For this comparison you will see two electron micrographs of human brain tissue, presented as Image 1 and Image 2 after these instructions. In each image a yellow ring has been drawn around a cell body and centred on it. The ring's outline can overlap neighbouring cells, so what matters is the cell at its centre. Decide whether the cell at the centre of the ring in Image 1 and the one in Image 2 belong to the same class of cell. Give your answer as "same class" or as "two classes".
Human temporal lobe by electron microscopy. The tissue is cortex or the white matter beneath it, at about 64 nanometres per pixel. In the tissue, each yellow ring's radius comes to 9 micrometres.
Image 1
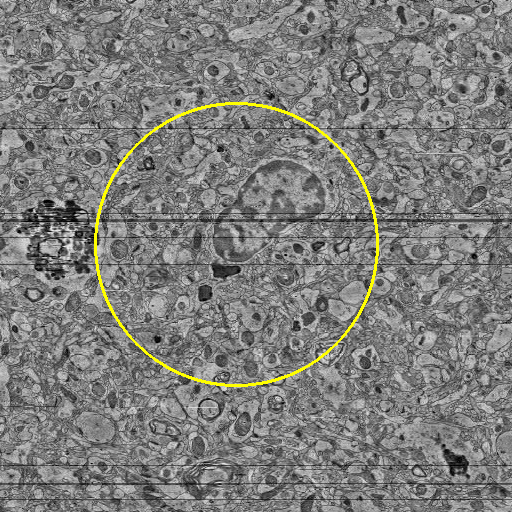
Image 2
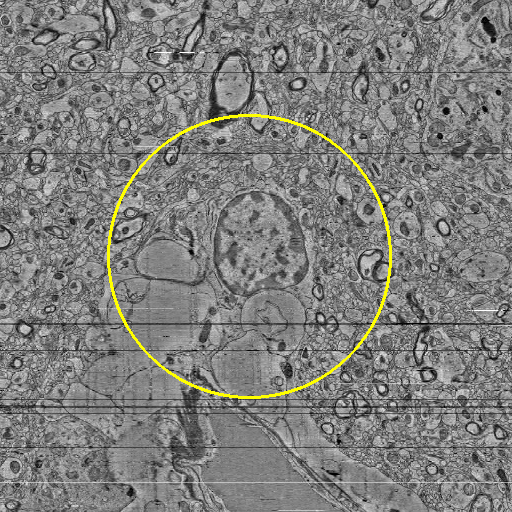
same class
